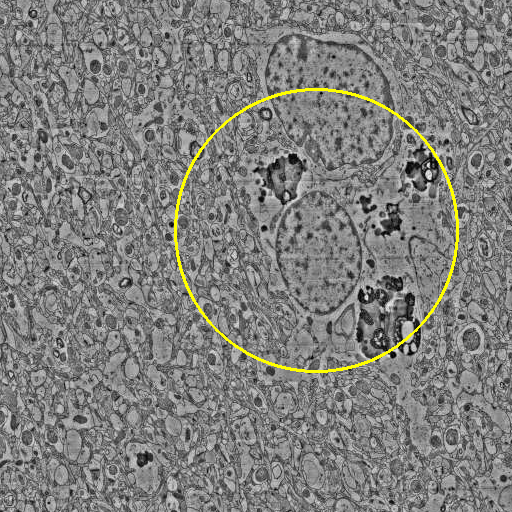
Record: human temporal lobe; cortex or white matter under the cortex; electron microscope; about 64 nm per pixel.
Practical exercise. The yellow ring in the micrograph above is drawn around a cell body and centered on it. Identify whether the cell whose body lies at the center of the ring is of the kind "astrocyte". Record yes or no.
yes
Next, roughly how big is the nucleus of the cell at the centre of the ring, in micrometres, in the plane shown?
In this plane, approximately 8 by 6 micrometers.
